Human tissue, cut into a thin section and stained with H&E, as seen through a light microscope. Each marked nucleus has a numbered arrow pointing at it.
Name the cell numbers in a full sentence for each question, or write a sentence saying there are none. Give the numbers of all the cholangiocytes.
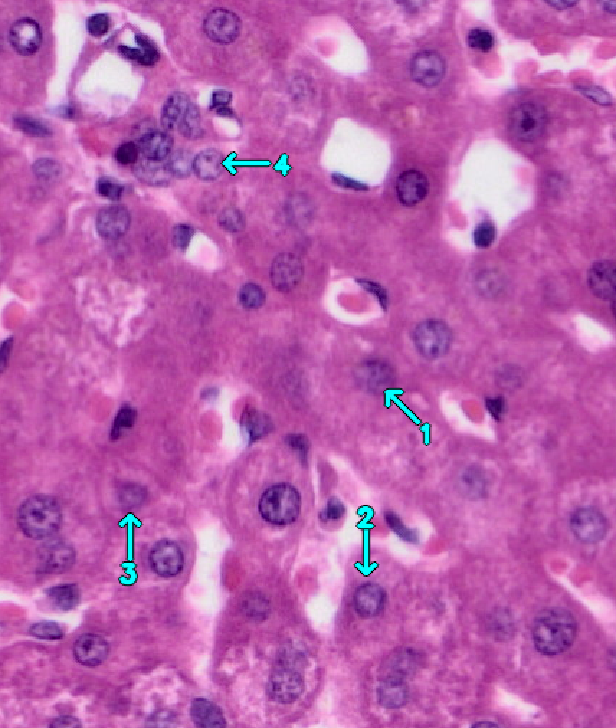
Cell 4 alone, of all the numbered cells, is a cholangiocyte.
